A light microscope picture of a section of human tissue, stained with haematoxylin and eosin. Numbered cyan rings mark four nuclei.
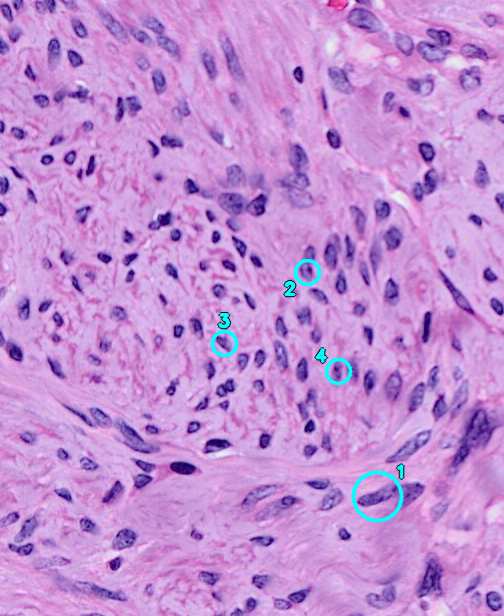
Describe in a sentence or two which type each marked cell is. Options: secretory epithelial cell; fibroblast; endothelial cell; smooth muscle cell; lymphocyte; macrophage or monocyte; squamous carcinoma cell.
Cell 1 is a fibroblast. Cells 2, 3 and 4 are smooth muscle cells.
